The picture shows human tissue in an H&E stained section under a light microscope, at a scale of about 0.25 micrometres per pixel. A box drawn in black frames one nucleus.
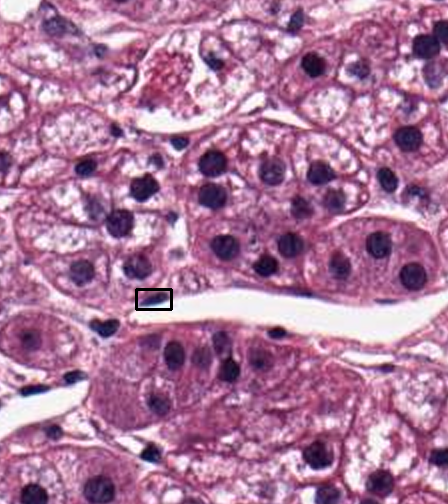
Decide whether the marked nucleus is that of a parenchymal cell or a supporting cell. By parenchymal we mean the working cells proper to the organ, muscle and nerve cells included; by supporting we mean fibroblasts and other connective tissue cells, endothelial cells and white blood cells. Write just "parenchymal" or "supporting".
supporting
